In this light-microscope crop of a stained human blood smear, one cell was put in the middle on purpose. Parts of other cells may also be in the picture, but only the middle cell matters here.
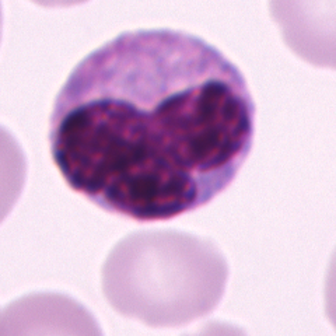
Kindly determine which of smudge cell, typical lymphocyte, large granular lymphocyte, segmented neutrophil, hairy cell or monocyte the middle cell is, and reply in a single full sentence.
In the central position of this crop, the cell is a segmented neutrophil.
